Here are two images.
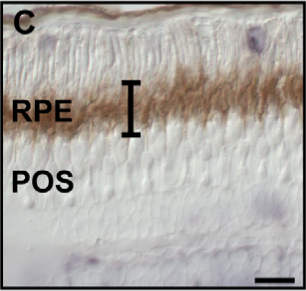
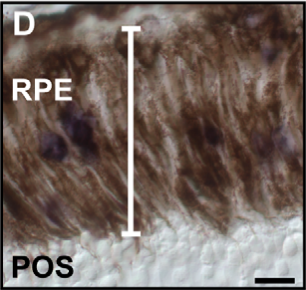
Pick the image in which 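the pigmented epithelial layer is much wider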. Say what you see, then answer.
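Second image: a dark brown pigmented band fills most of the panel height, marked by a long white bar. First image: the brown pigmented band is a narrow strip, marked by a short black bar.
Hence: the second image.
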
